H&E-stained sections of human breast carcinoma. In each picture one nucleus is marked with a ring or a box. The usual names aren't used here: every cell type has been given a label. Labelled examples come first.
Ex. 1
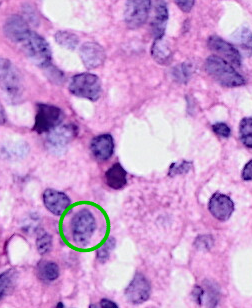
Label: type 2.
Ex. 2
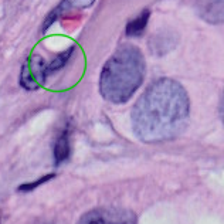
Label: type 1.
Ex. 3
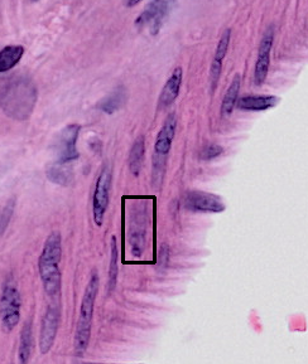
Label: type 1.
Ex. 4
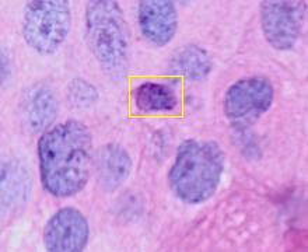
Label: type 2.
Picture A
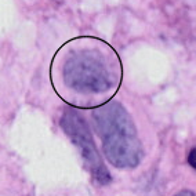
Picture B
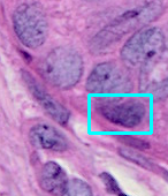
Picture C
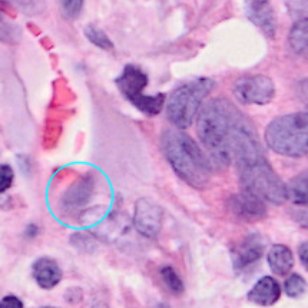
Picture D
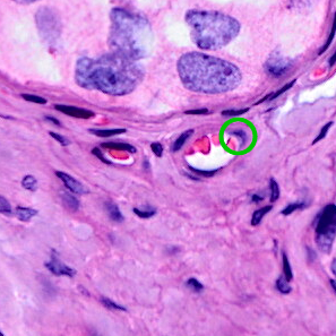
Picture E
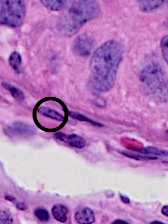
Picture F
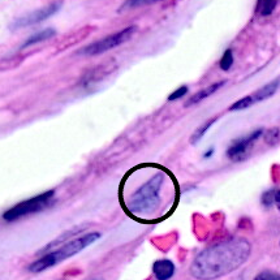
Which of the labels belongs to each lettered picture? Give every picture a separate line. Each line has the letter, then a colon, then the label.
A: type 2.
B: type 2.
C: type 1.
D: type 1.
E: type 1.
F: type 1.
